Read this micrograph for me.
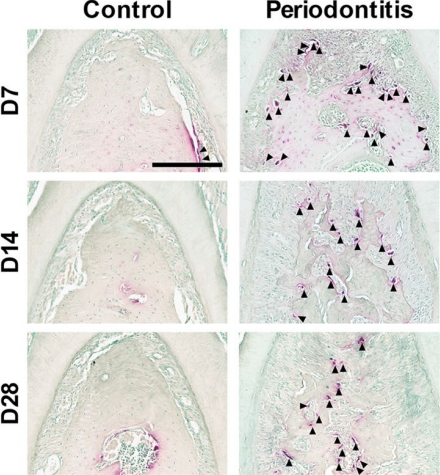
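In the left-hand images the bone is a broad, smooth mass with scattered small lacunae and almost no red-stained cells. In the right-hand images the bone is broken up into irregular islands surrounded by cellular soft tissue. Many magenta-red cells, marked by black arrowheads, line the scalloped edges of these bone fragments. They are larger than the surrounding cells and lie right on the bone surface, where resorption is taking place.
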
